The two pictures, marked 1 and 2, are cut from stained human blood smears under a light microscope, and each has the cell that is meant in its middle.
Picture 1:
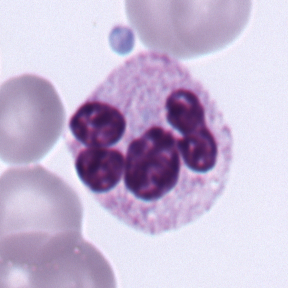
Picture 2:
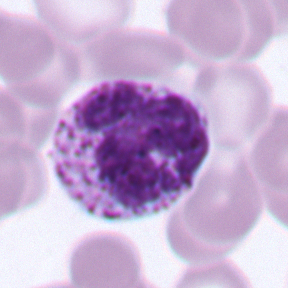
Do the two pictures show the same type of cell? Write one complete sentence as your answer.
No; the cell in picture 1 is a segmented neutrophil, while the one in picture 2 is a basophil.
